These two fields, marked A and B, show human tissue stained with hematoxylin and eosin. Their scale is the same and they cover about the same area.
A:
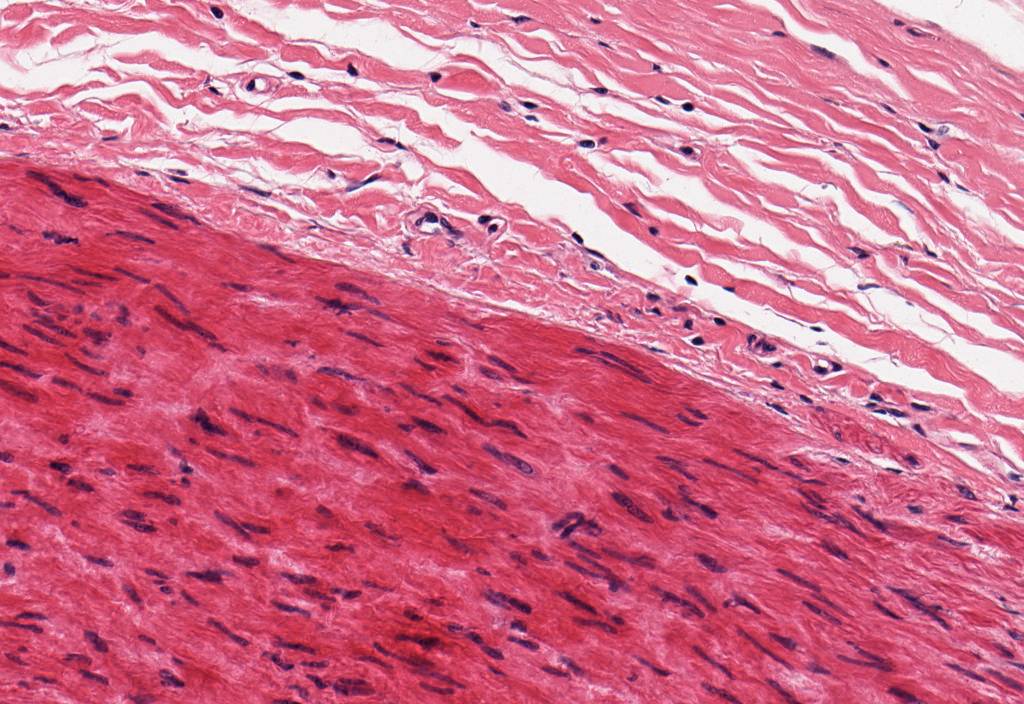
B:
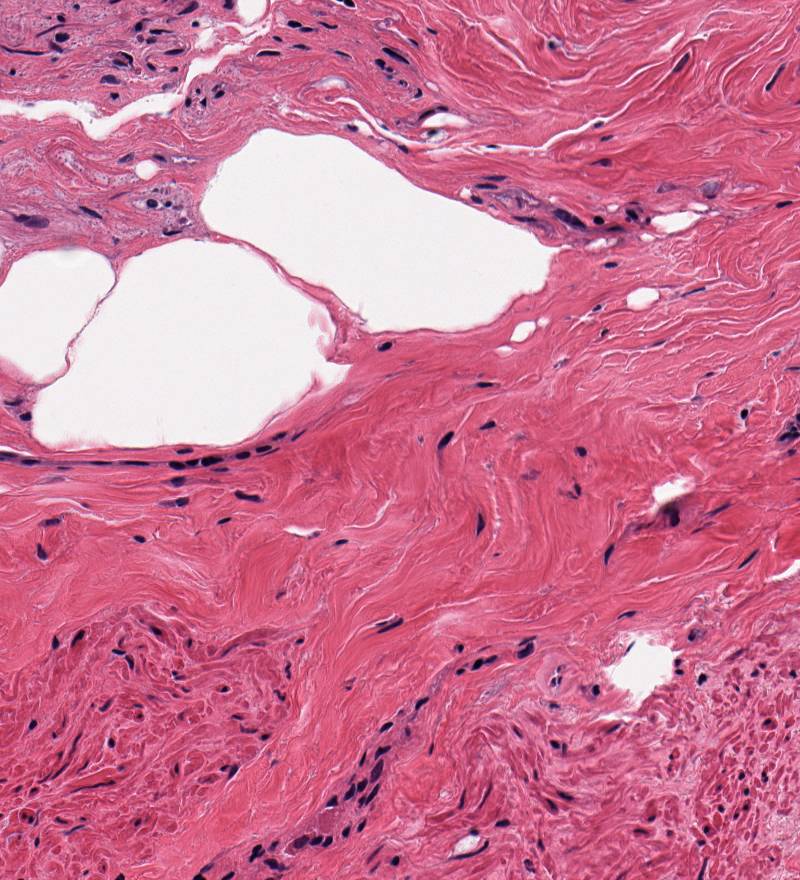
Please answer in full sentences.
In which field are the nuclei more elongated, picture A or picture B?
Longer, more slender nuclei lie in picture A.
